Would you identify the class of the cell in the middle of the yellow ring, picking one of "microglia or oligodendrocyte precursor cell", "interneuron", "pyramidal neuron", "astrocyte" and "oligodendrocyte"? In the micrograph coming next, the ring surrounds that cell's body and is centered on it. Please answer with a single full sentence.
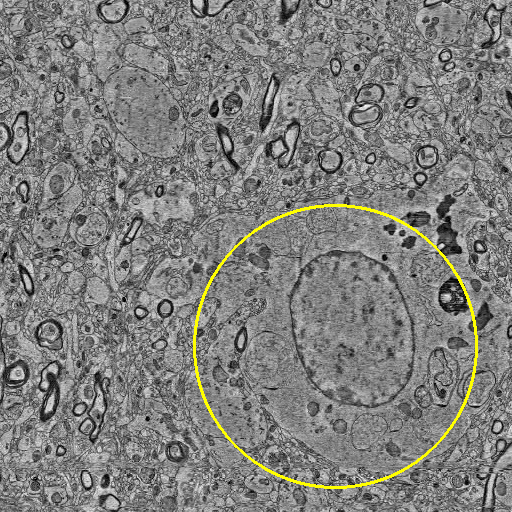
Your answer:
In the micrograph, it is an astrocyte whose body lies at the ring's center.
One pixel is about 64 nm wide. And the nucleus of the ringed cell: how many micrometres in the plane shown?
Approximately 11 x 8 micrometres in this plane.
